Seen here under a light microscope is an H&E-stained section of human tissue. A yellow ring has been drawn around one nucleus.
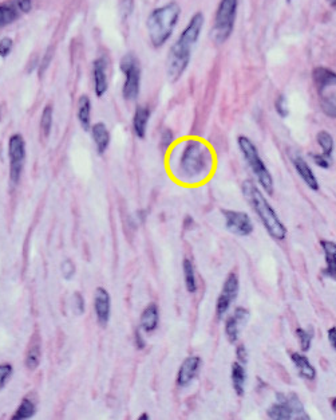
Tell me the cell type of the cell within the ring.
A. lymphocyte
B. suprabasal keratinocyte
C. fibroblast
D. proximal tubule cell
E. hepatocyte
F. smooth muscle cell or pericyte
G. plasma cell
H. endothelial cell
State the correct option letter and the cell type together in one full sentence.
Option C is correct; the cell within the ring is a fibroblast.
